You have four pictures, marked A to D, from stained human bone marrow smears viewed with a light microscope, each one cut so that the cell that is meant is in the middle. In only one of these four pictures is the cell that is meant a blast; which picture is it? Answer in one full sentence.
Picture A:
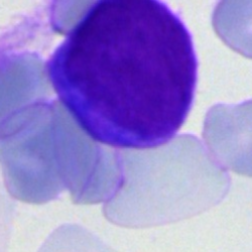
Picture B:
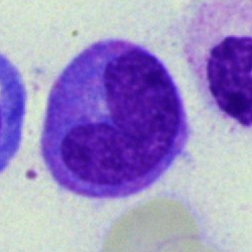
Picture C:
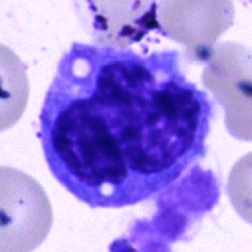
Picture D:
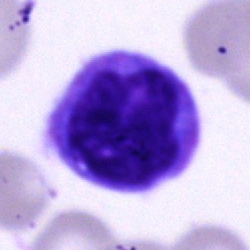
Picture A shows the blast.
